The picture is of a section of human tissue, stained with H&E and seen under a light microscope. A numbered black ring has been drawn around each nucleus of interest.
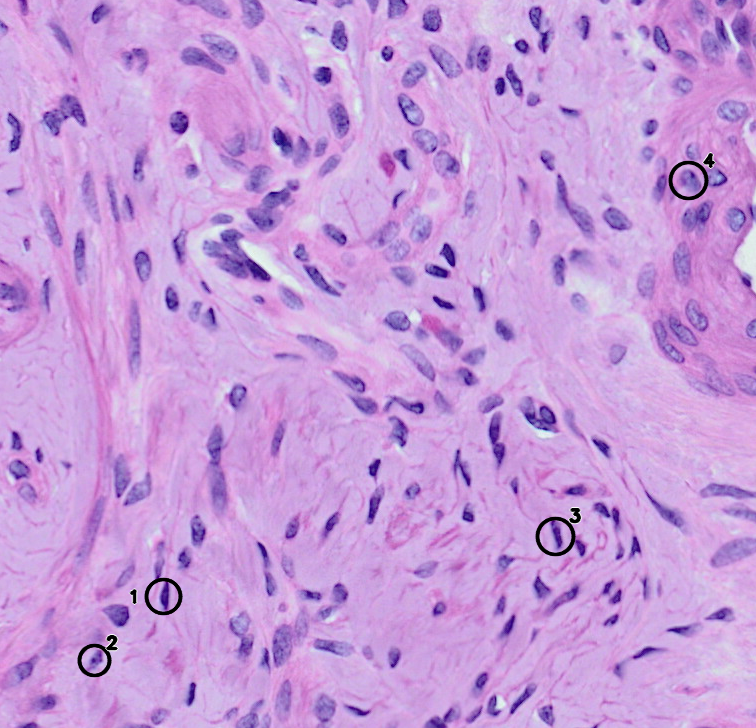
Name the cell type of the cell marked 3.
fibroblast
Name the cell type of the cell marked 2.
fibroblast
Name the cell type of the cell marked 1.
fibroblast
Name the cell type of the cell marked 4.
smooth muscle cell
